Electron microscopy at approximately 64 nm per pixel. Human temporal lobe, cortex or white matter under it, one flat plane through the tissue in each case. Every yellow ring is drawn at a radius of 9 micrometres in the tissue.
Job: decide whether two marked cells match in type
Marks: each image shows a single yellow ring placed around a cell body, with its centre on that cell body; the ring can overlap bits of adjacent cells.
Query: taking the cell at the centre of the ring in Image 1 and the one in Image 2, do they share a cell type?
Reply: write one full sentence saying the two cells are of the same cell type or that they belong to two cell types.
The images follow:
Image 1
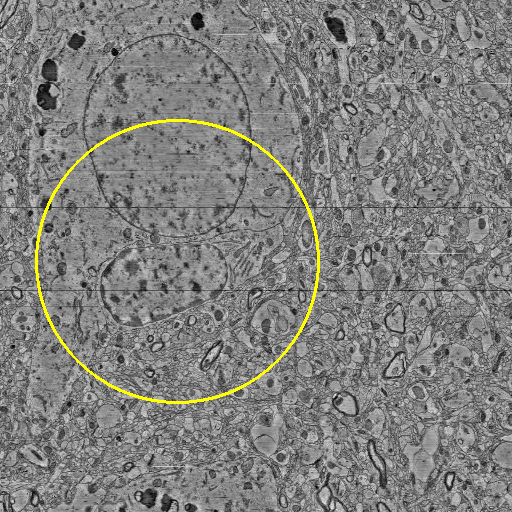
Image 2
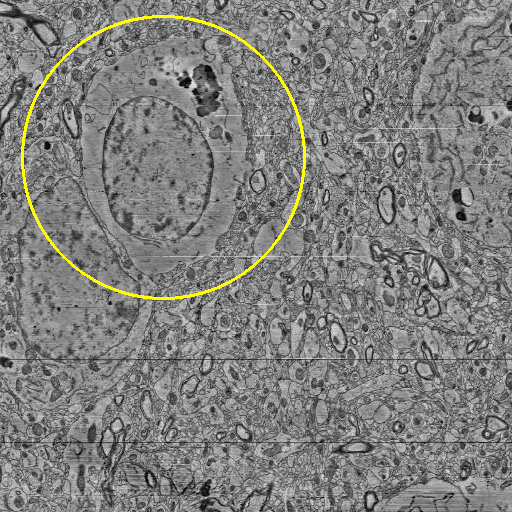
The cells at the ring centres in Image 1 and Image 2 belong to two cell types.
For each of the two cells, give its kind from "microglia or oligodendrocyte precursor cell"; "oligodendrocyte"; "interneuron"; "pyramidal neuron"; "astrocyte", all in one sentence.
The first picture has a microglial cell or oligodendrocyte precursor cell in its ring, the second has an astrocyte.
